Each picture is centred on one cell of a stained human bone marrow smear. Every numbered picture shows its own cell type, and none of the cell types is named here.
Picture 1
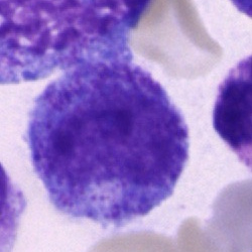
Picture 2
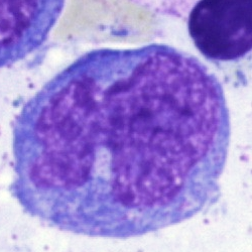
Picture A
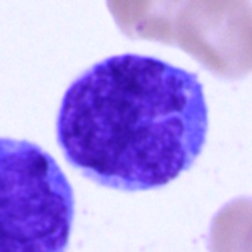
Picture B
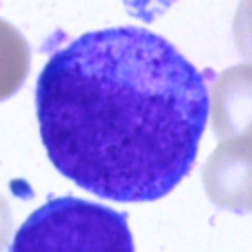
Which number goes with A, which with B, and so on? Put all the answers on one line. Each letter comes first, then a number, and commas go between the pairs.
A 2, B 1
